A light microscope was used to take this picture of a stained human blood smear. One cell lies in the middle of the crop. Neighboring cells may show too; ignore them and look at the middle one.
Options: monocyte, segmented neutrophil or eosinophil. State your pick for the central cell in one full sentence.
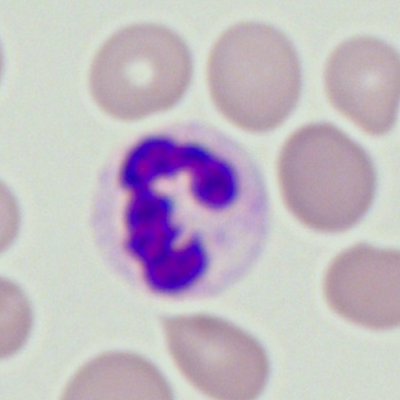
Regarding the central cell, it is a segmented neutrophil.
